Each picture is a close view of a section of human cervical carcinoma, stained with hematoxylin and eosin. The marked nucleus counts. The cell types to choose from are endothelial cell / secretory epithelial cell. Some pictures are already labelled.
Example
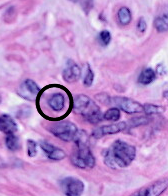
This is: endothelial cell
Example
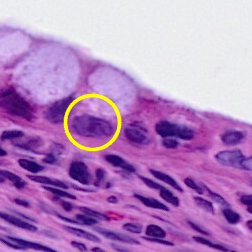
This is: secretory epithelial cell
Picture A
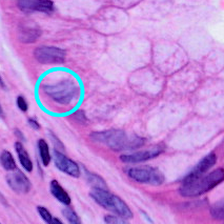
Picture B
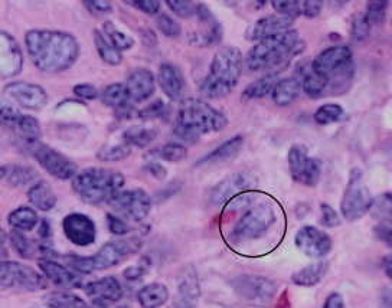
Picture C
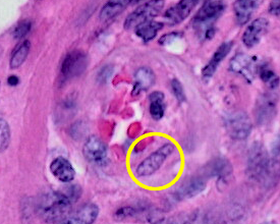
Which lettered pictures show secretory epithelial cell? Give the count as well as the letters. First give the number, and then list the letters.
1: A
